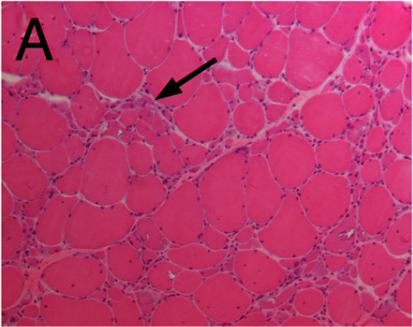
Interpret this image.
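This cross-section of skeletal muscle shows muscle fibres of strikingly different sizes, stained pink with small dark-blue nuclei. Clusters of small, angular fibres lie grouped together between very large, rounded fibres. The small fibres sit with more nuclei and pale connective tissue between them than the large ones. Nuclei lie mostly at the edges of the fibres.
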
